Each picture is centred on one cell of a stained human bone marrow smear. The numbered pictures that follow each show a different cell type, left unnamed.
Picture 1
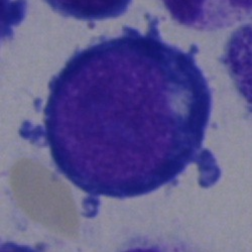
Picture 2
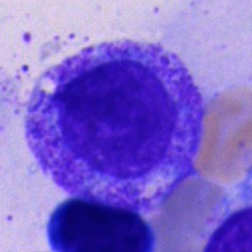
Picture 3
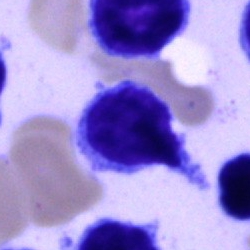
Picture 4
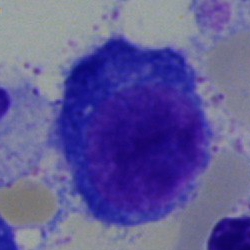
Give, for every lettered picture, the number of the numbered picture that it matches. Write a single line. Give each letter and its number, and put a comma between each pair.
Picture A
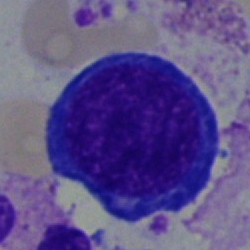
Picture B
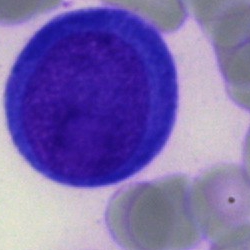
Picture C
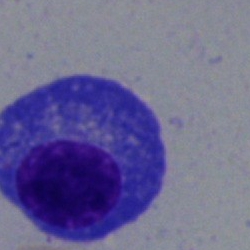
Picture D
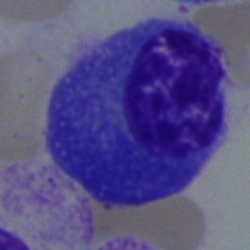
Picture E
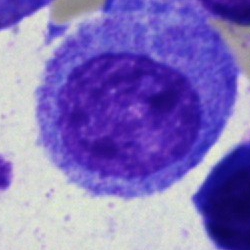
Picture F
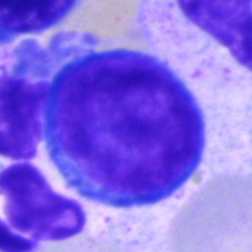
A 1, B 1, C 4, D 4, E 2, F 1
